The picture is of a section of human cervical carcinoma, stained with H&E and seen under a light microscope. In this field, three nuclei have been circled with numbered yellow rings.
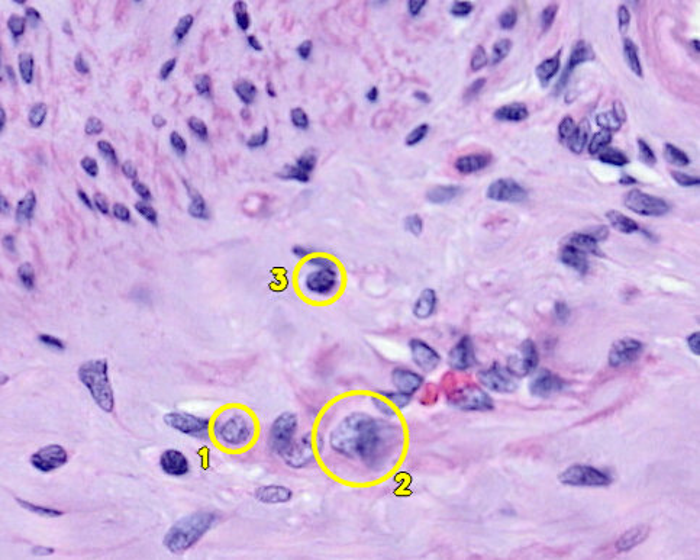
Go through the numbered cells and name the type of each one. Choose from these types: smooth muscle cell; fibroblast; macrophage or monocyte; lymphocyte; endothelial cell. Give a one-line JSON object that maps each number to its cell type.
{"1": "endothelial cell", "2": "endothelial cell", "3": "lymphocyte"}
